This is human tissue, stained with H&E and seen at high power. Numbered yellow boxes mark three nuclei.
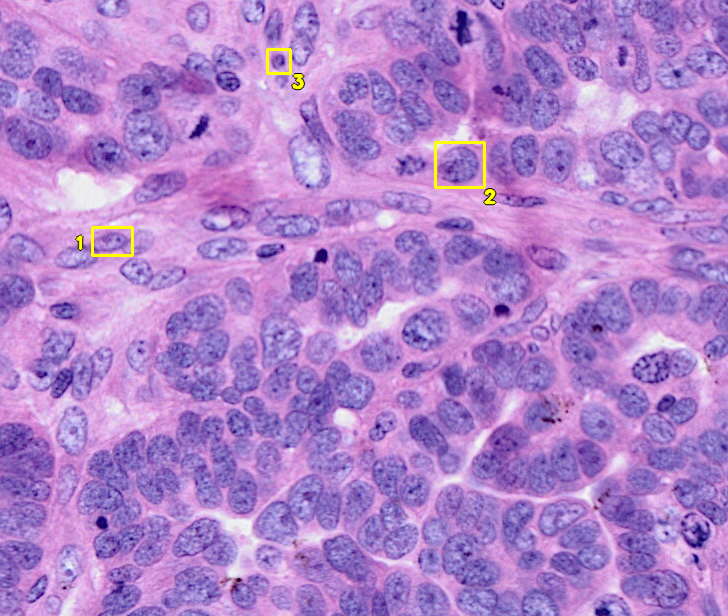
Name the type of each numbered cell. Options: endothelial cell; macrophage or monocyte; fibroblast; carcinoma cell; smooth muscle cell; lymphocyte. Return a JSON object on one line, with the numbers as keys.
{"1": "fibroblast", "2": "carcinoma cell", "3": "lymphocyte"}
